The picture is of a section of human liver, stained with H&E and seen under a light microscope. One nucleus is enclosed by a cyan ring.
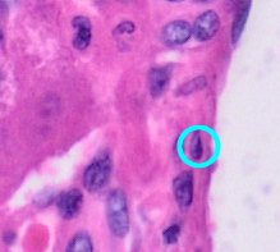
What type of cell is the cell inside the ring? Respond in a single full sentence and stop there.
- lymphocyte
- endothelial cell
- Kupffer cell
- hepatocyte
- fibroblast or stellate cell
Students should answer that the cell inside the ring is a fibroblast or stellate cell.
